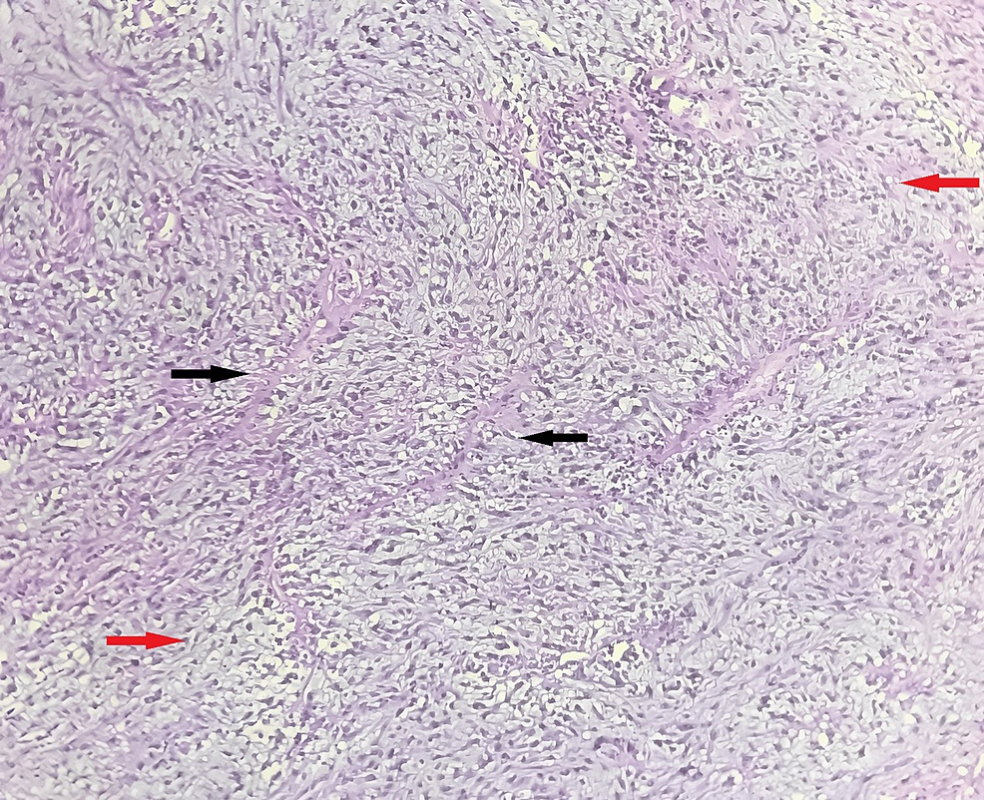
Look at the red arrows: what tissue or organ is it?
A: Myxoid stroma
